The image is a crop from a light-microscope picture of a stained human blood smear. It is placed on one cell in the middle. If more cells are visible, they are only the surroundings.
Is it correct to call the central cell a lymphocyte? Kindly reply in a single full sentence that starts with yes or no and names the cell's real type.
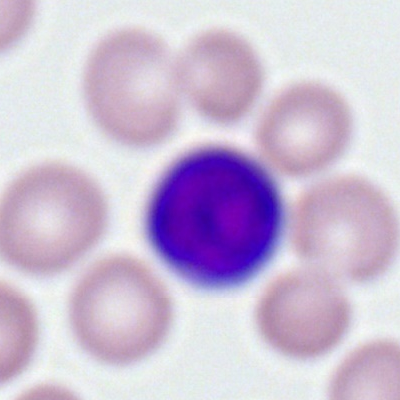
Yes, the cell centred in the field of view is a lymphocyte.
